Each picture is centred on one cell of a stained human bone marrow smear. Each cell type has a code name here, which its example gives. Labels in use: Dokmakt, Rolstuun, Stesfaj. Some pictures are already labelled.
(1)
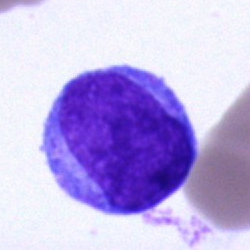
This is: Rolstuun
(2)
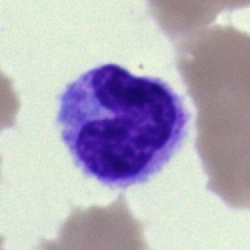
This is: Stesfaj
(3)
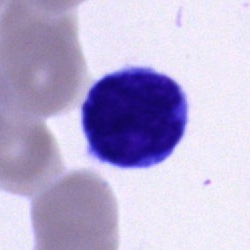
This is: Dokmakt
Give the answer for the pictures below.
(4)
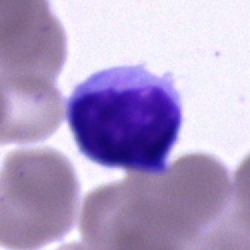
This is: Dokmakt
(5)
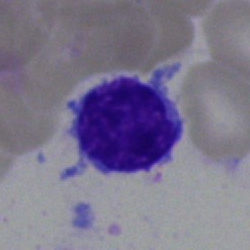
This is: Dokmakt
